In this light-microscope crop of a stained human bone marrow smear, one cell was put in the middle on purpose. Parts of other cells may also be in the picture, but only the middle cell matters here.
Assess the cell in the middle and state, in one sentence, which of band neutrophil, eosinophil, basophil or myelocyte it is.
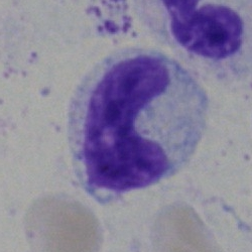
Located at the centre of the crop is a band neutrophil.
